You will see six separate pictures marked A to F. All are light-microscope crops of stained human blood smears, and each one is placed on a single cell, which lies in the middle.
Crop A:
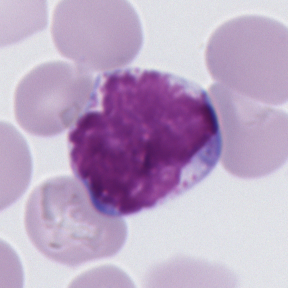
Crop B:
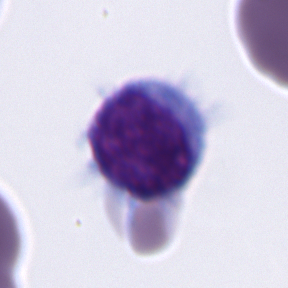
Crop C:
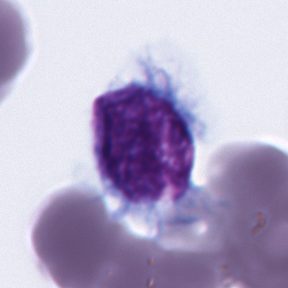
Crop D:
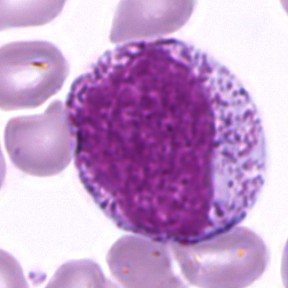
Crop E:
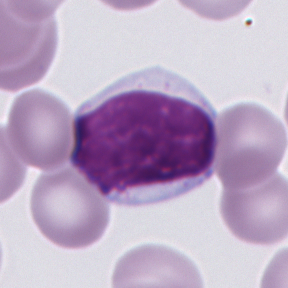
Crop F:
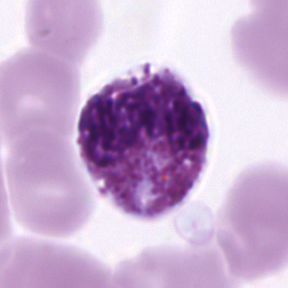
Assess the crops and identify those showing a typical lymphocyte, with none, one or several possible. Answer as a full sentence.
Checked all crops, and not one shows a typical lymphocyte.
